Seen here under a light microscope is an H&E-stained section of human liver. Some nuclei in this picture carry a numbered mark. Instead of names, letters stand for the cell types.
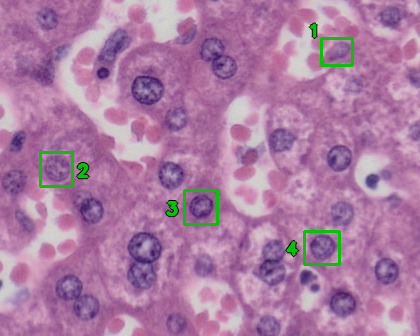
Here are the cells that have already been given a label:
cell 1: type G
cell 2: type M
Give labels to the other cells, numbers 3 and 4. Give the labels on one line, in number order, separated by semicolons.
type M; type M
